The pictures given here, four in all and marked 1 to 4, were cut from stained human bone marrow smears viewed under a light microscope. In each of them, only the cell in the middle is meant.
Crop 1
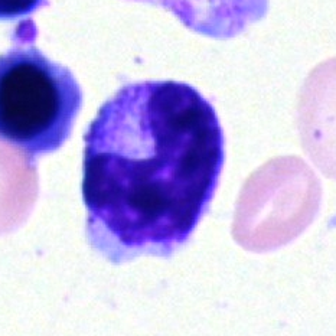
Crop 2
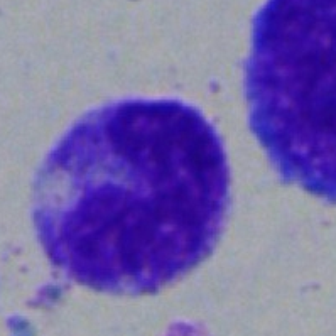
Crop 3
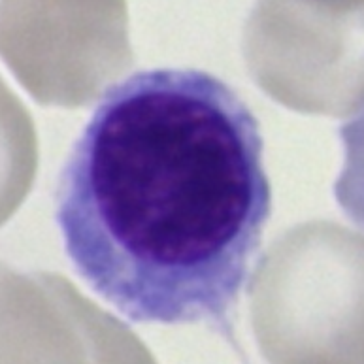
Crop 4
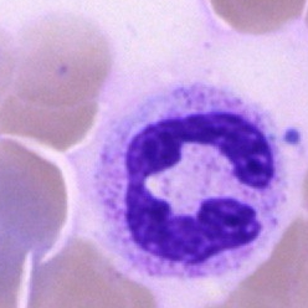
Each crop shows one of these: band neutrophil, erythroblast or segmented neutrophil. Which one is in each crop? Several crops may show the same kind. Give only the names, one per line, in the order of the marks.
band neutrophil
band neutrophil
erythroblast
segmented neutrophil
